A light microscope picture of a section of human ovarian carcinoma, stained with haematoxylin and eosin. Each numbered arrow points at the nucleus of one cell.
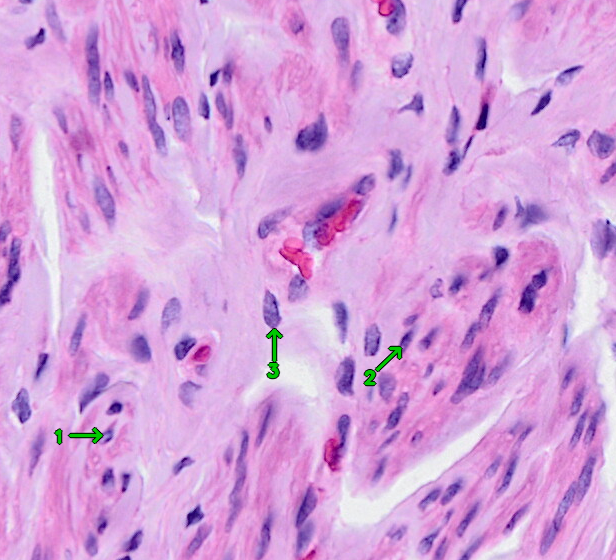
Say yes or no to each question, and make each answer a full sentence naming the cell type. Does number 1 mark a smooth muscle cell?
Yes, number 1 marks a cell that is a smooth muscle cell.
